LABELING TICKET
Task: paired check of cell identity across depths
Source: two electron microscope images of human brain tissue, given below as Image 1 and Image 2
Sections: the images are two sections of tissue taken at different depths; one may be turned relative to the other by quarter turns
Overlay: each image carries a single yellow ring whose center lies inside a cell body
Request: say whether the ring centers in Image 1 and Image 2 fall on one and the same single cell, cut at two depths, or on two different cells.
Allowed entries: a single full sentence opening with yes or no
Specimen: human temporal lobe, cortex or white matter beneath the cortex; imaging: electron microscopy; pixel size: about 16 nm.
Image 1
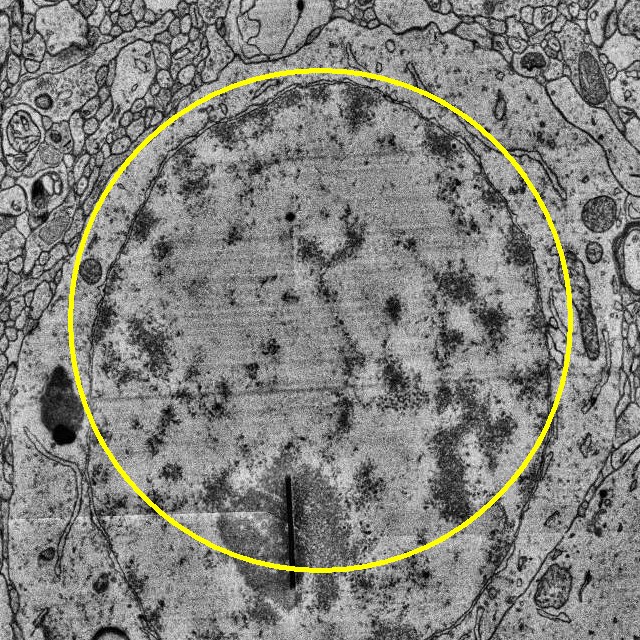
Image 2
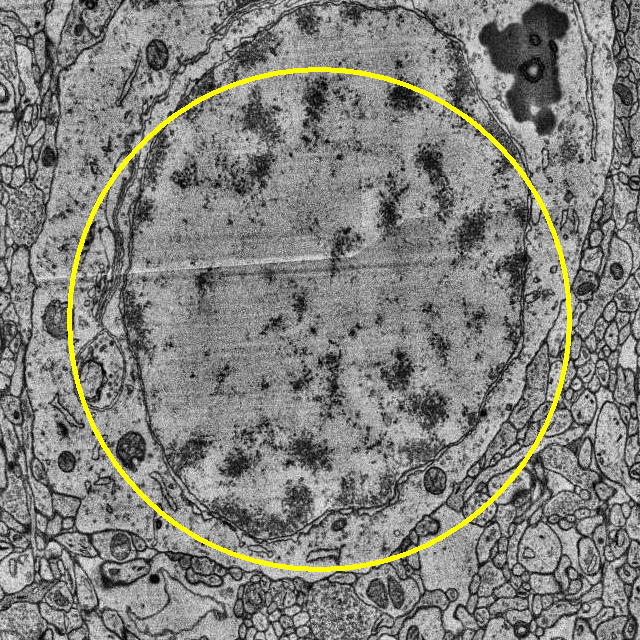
Yes, these two rings point to one cell rather than two.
